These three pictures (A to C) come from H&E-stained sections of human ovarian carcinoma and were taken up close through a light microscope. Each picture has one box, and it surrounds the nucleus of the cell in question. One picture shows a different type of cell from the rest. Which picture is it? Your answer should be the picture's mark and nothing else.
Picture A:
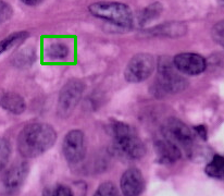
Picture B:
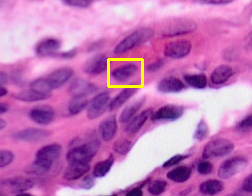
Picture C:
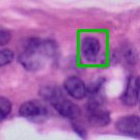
B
